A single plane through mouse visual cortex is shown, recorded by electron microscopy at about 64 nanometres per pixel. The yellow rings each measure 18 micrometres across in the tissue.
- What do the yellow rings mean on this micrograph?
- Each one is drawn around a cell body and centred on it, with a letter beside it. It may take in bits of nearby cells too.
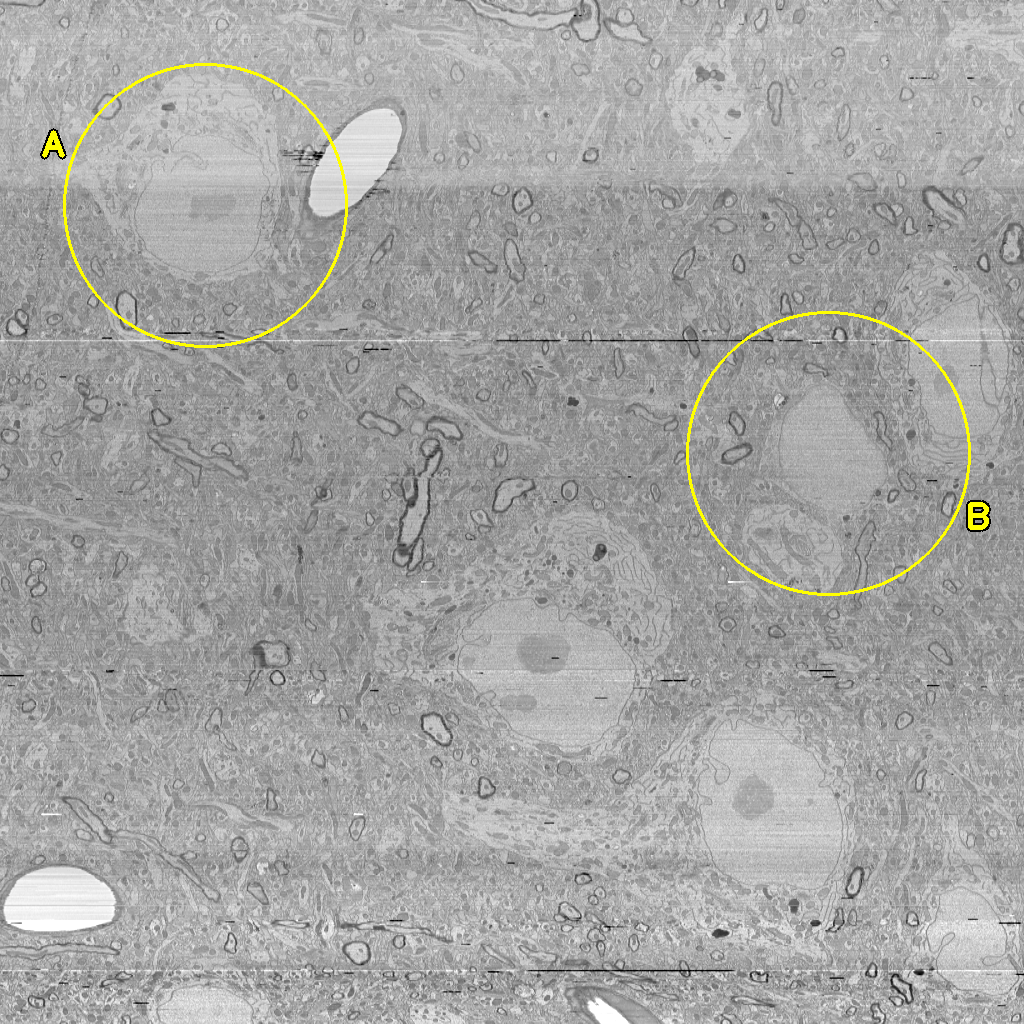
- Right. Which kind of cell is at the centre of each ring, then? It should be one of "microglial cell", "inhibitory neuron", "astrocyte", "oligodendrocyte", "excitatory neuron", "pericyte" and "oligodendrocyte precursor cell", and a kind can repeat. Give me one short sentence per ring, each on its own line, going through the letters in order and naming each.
Ring A circles the cell body of an excitatory neuron.
Ring B circles the cell body of an astrocyte.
